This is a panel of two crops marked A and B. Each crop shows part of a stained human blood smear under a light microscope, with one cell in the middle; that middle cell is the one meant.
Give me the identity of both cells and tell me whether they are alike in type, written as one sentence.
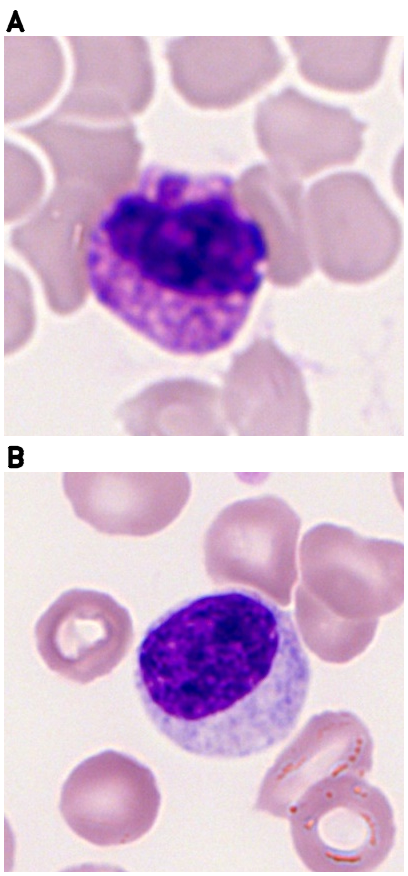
No, a basophil and a lymphocyte are found in crop A and crop B, respectively.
